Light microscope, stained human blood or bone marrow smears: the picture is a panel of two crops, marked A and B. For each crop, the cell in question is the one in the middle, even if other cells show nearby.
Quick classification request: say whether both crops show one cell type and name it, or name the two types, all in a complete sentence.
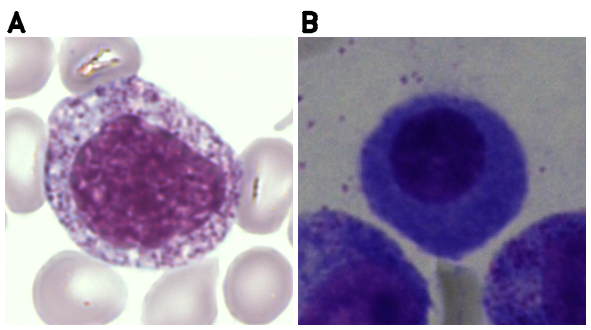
No, crop A is the one with a myelocyte; crop B has a plasma cell.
